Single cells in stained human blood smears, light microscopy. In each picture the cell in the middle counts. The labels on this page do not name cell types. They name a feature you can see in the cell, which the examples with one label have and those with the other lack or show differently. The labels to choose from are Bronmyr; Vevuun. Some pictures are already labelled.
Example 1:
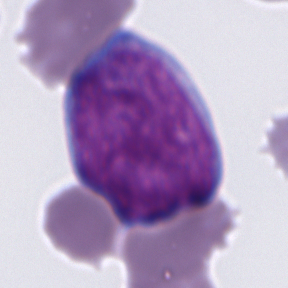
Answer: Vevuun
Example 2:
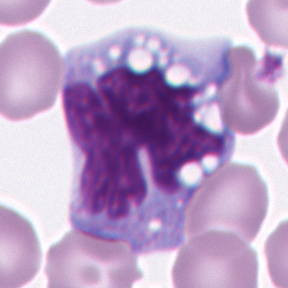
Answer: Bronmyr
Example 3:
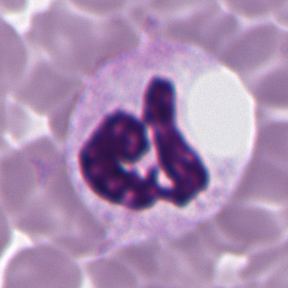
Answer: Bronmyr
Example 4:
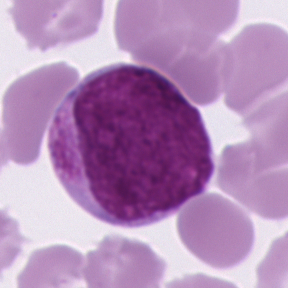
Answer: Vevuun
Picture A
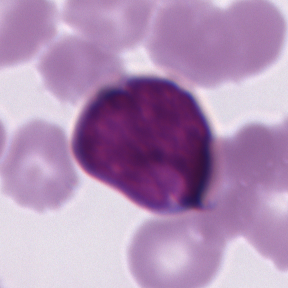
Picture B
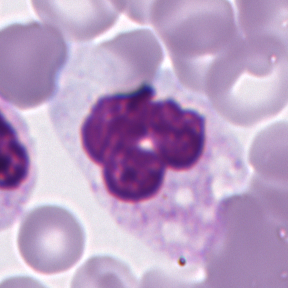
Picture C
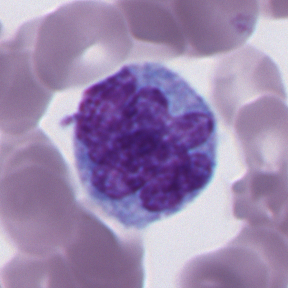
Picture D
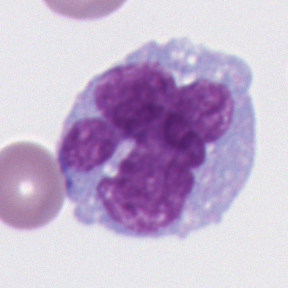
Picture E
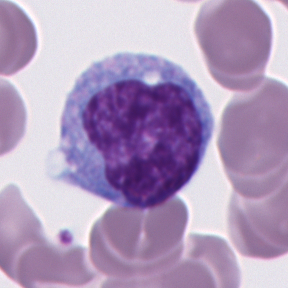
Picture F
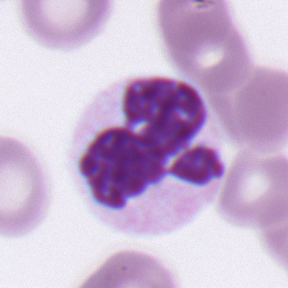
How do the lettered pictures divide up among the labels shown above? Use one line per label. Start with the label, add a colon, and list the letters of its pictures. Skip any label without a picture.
Bronmyr: B, D, E
Vevuun: A, C, F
